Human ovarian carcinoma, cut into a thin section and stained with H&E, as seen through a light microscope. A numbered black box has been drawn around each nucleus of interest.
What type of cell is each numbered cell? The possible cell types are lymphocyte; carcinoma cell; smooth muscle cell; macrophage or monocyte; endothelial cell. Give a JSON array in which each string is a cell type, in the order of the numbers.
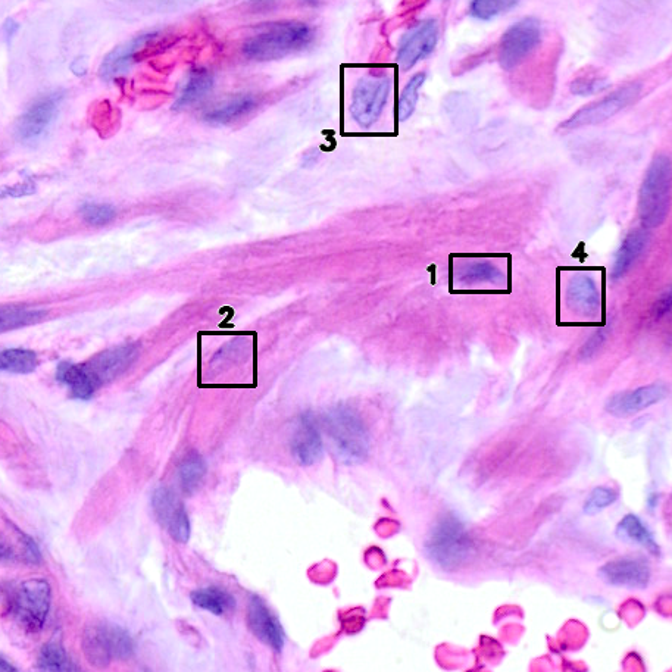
["smooth muscle cell", "smooth muscle cell", "endothelial cell", "smooth muscle cell"]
